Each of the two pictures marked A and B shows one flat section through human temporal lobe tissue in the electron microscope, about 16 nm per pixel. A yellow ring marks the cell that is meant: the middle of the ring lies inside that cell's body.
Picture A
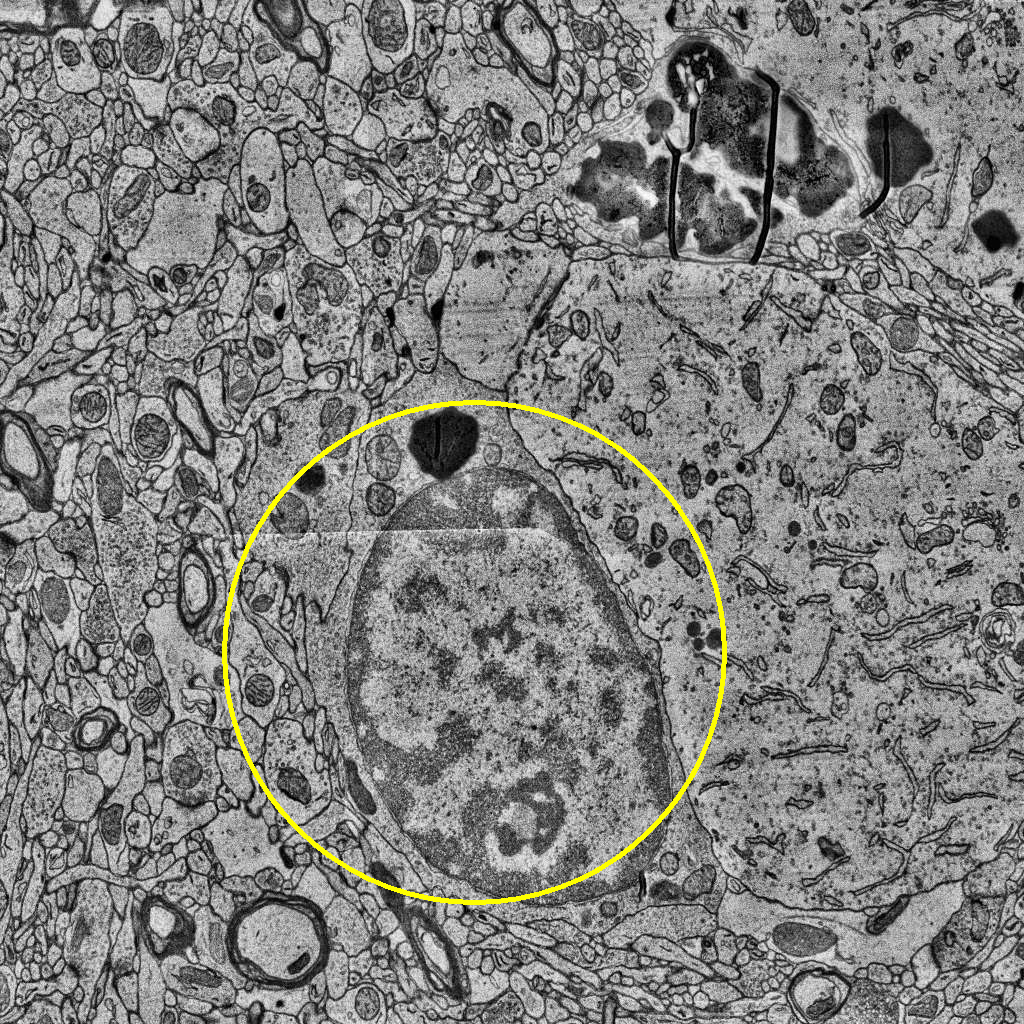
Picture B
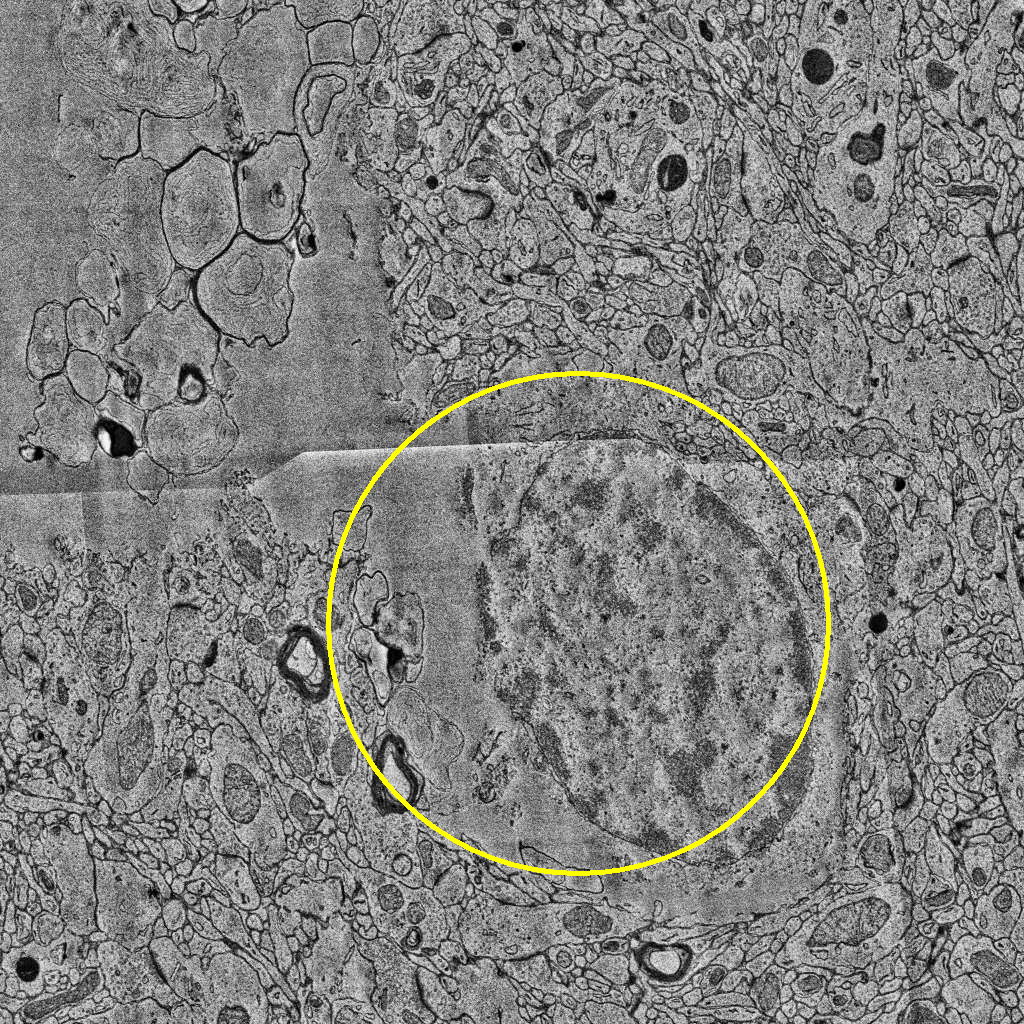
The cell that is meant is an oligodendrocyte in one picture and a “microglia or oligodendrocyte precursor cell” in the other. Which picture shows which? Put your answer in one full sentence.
Picture A shows an oligodendrocyte and picture B shows a “microglia or oligodendrocyte precursor cell”.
